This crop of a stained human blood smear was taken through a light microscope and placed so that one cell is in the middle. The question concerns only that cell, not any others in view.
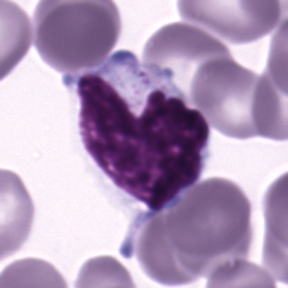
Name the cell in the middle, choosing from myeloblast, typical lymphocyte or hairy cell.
typical lymphocyte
